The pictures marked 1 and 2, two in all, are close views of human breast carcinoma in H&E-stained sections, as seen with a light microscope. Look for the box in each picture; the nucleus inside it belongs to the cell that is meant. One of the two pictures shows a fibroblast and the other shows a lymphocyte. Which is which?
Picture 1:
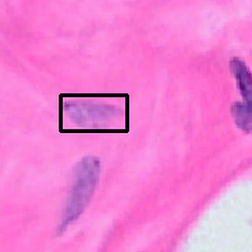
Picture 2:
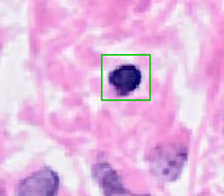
1: fibroblast
2: lymphocyte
